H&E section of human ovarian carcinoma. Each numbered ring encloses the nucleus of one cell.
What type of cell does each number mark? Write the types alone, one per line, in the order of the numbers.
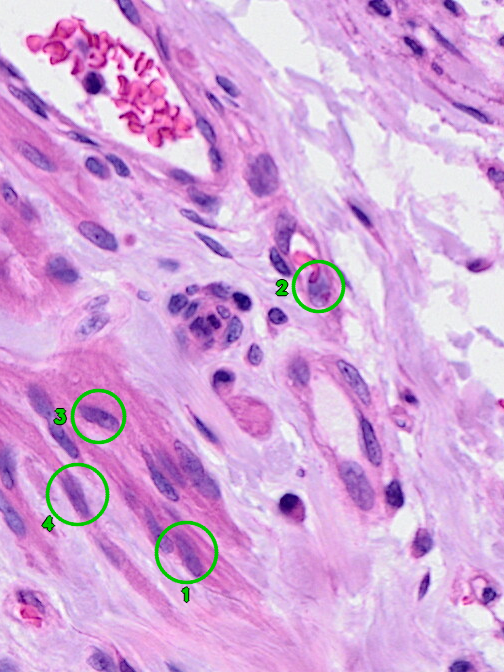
smooth muscle cell
endothelial cell
smooth muscle cell
smooth muscle cell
